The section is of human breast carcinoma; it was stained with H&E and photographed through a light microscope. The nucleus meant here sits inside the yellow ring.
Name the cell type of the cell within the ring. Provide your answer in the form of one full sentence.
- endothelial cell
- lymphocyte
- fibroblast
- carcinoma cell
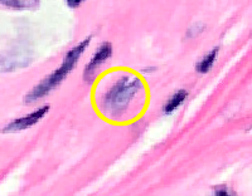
As far as its identity is concerned, the cell within the ring is an endothelial cell.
